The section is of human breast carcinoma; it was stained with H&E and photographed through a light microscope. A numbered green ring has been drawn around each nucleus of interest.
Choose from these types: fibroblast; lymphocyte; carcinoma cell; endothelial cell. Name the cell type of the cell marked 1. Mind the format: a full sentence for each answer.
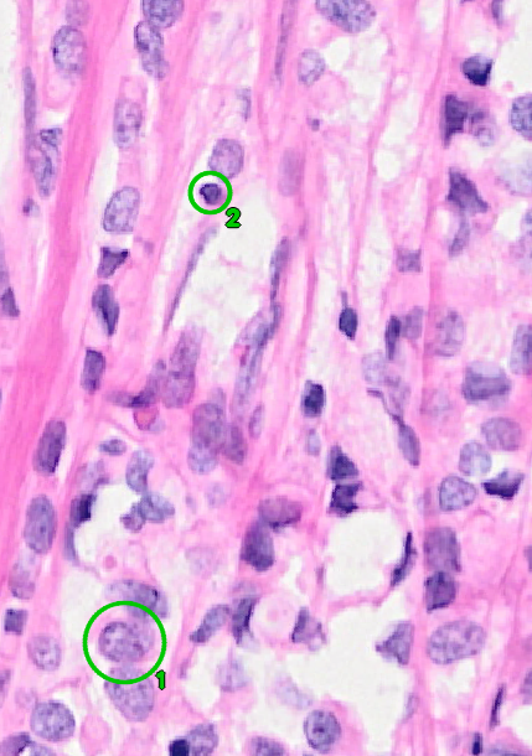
Recognised here as a carcinoma cell is the cell numbered 1.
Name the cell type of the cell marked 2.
Number 2 among the marked cells is a lymphocyte.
